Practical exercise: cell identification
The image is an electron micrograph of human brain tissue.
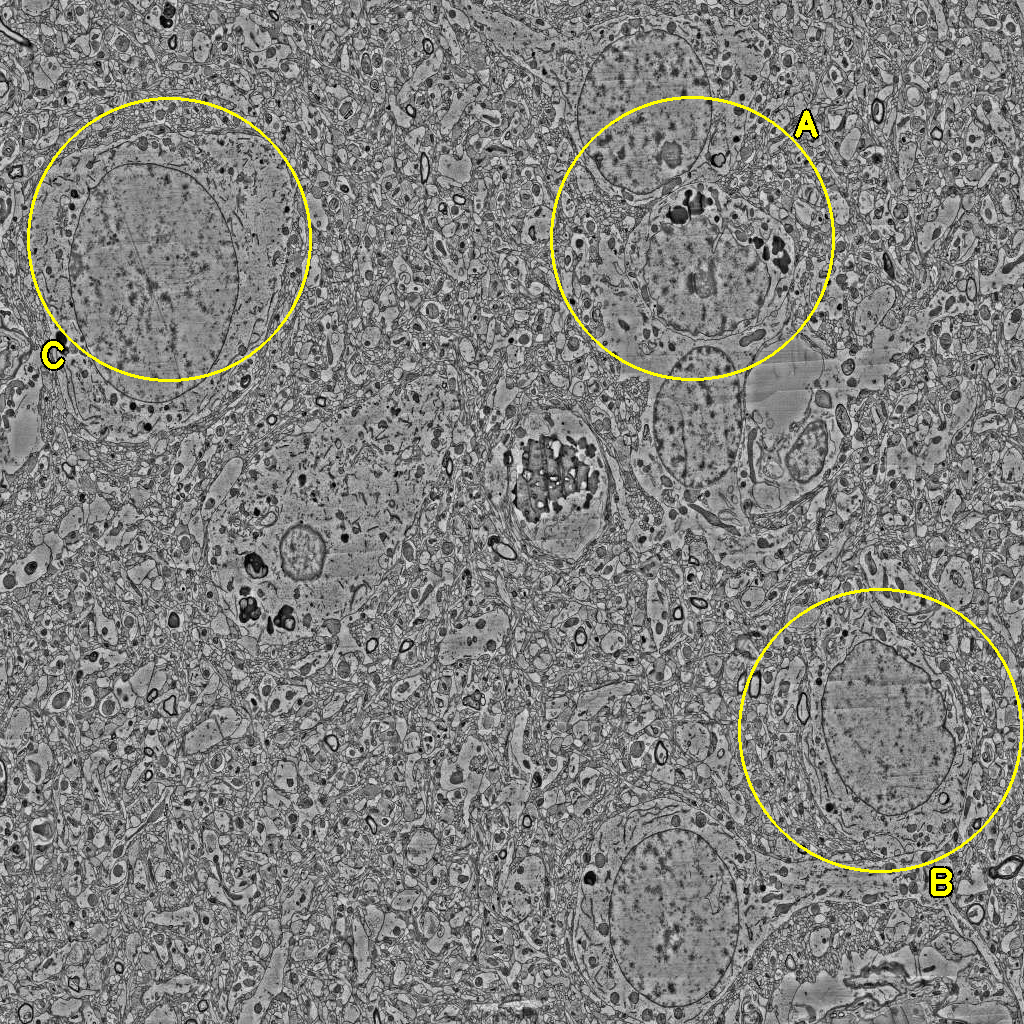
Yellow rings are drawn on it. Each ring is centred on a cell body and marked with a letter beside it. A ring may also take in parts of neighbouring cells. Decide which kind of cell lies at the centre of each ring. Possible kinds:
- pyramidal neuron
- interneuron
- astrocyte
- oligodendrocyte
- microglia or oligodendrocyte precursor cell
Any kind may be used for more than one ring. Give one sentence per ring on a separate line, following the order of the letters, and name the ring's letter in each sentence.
The cell in the middle of ring A is an interneuron.
The cell in the middle of ring B is a pyramidal neuron.
The cell in the middle of ring C is a pyramidal neuron.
